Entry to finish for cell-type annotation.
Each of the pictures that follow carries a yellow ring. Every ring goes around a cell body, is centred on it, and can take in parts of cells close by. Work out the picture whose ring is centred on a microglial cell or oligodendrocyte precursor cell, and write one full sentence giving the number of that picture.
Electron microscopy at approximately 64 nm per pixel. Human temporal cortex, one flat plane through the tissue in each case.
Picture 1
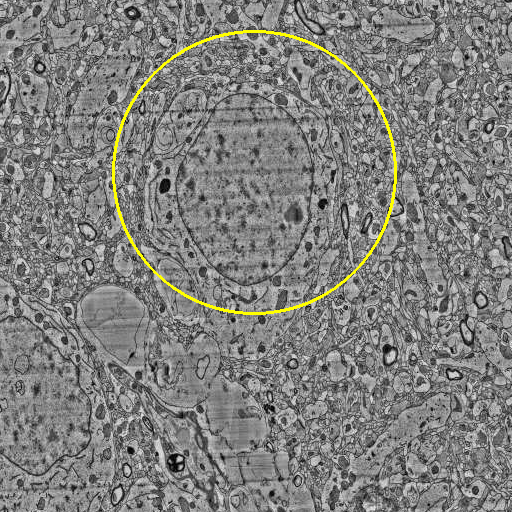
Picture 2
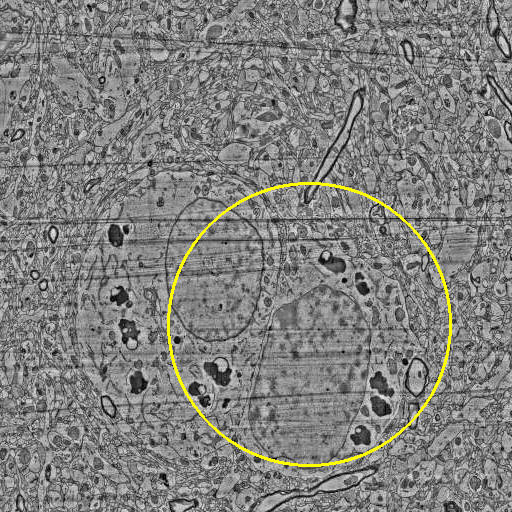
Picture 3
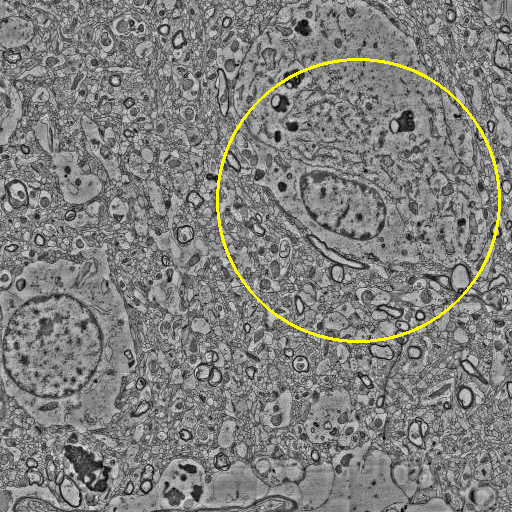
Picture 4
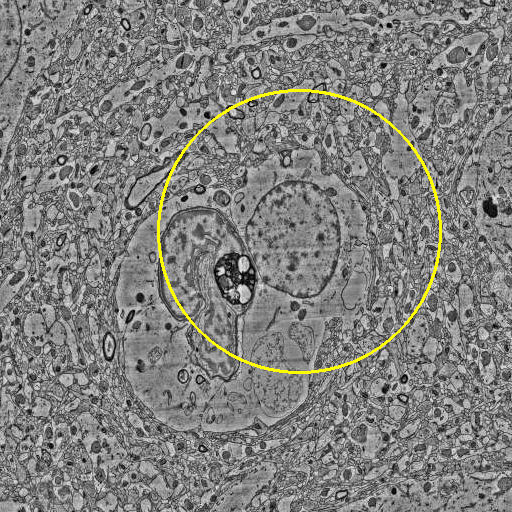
The cell at the heart of the ring in picture 3 matches the request.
